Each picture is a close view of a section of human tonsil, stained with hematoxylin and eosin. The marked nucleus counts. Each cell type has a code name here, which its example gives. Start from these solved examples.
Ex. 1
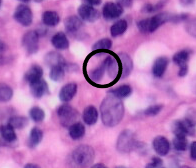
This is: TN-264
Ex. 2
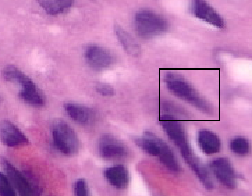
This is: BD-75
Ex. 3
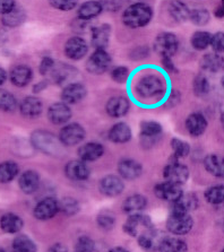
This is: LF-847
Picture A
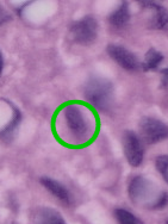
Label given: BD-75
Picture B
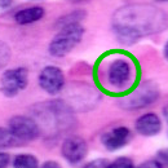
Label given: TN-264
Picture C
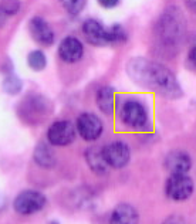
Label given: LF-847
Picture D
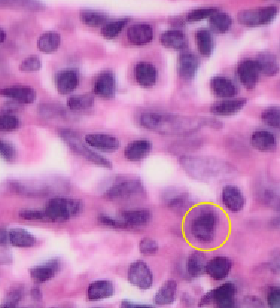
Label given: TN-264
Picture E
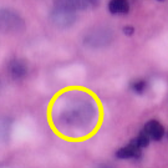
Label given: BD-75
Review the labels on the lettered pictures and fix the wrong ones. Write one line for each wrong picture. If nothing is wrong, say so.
Nothing to fix; every label fits.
